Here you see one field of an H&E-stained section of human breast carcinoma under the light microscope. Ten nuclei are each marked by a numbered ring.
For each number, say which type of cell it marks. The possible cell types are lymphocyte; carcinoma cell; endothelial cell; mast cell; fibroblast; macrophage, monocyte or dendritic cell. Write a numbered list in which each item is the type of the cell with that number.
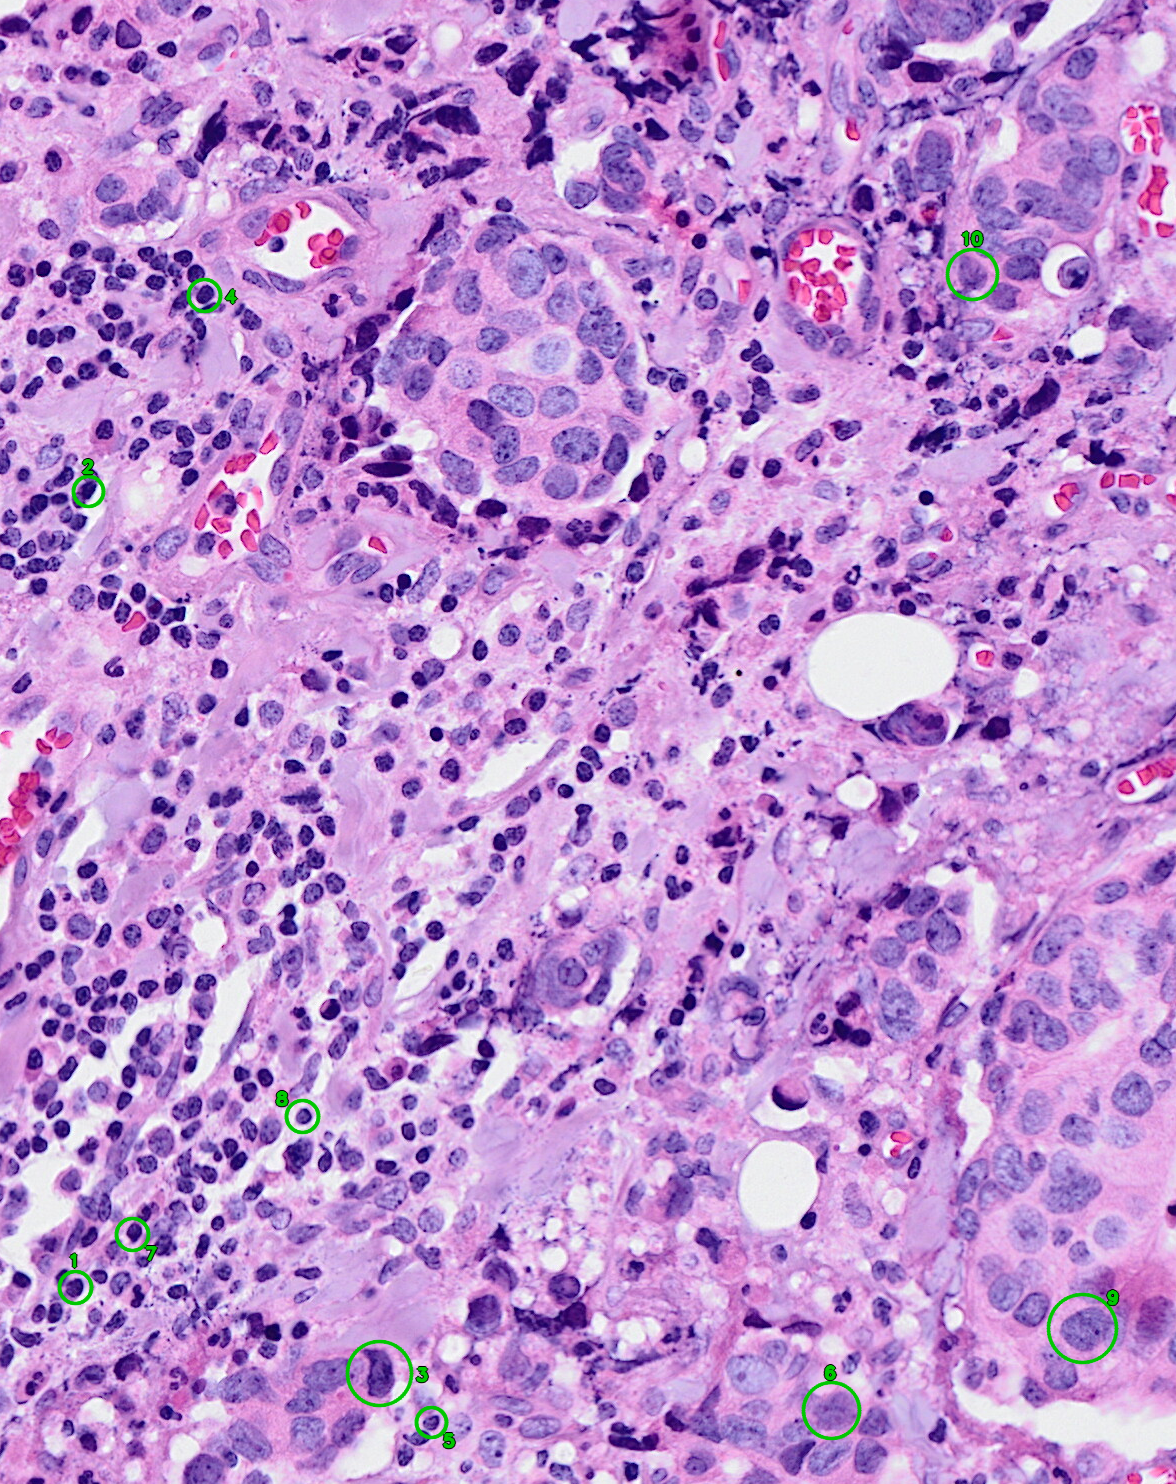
1. lymphocyte
2. lymphocyte
3. carcinoma cell
4. lymphocyte
5. lymphocyte
6. carcinoma cell
7. lymphocyte
8. lymphocyte
9. carcinoma cell
10. carcinoma cell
